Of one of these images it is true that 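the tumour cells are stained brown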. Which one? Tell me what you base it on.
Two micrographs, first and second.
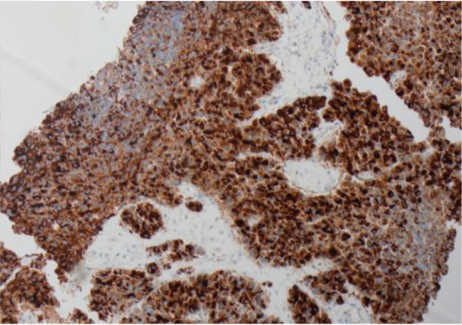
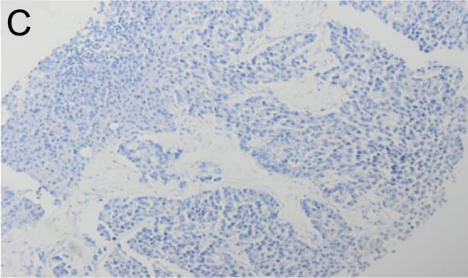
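The first image. Second image: the tumour cells show only blue counterstain with no brown colour. First image: nearly all tumour cells are strongly brown throughout the cytoplasm.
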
